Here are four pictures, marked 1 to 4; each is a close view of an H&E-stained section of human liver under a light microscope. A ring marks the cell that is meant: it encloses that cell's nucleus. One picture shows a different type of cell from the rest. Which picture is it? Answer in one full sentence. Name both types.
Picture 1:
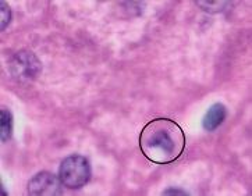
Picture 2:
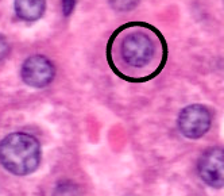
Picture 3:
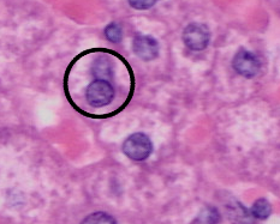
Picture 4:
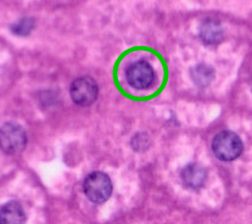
The different one is picture 1; it shows an endothelial cell, whereas all the others show hepatocytes.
